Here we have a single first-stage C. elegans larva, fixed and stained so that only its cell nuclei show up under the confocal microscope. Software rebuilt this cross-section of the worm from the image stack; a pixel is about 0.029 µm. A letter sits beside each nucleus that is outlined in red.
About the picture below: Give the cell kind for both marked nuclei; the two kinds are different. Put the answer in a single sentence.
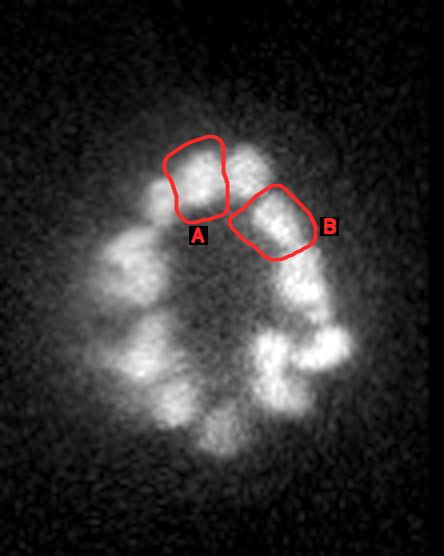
B belongs to a glial cell (sheath or socket), and A to a neuron.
